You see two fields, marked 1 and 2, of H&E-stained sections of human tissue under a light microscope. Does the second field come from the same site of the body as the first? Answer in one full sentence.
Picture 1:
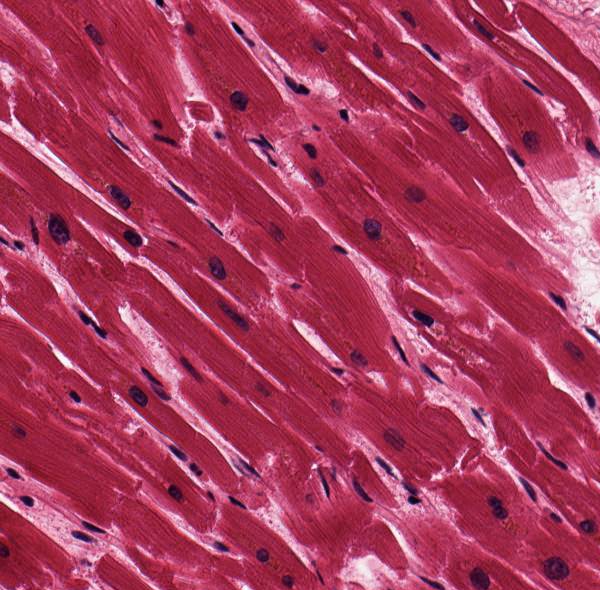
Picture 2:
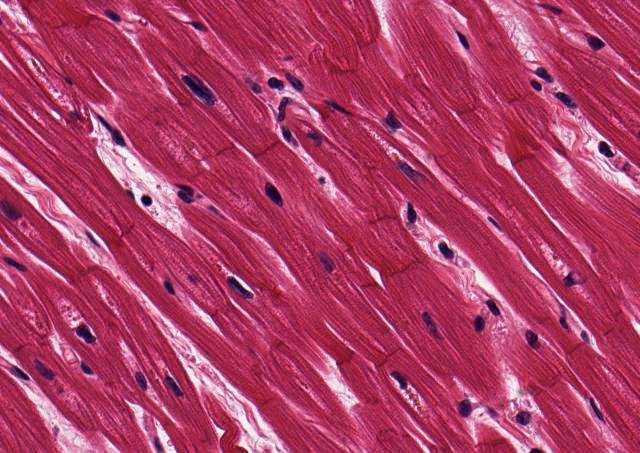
Yes, the two fields both come from the left ventricle of the heart.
